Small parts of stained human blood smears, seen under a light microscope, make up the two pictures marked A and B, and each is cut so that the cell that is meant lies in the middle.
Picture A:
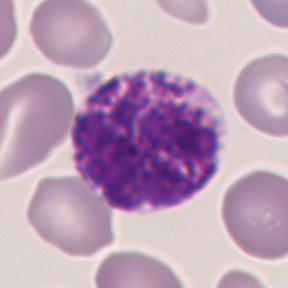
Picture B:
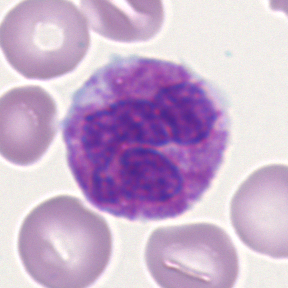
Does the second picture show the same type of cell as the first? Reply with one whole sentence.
No; the cell in picture A is a basophil, while the one in picture B is an eosinophil.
